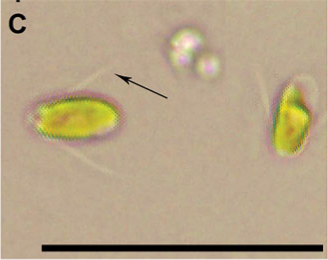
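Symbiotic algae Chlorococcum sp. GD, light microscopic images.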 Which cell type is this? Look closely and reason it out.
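Zoospores. Two small elongated yellow-green cells lie free on the background. Thin threads extend from the cells.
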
